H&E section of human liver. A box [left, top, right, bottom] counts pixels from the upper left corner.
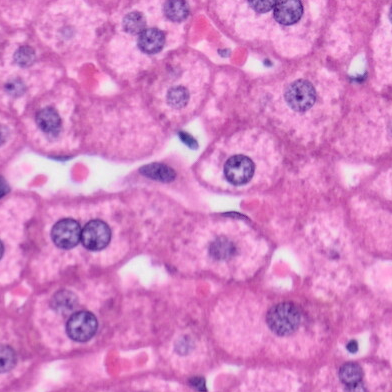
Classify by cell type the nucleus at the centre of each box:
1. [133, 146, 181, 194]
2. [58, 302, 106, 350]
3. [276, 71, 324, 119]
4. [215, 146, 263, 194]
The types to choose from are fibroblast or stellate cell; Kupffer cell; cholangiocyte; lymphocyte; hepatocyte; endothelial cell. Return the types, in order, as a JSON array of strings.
["Kupffer cell", "hepatocyte", "hepatocyte", "hepatocyte"]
